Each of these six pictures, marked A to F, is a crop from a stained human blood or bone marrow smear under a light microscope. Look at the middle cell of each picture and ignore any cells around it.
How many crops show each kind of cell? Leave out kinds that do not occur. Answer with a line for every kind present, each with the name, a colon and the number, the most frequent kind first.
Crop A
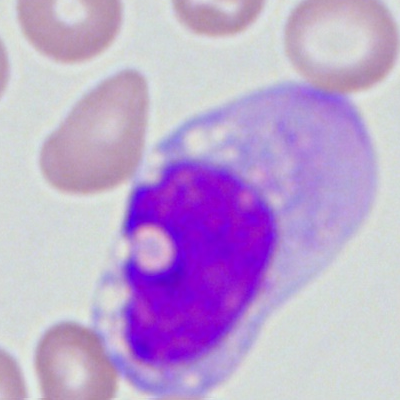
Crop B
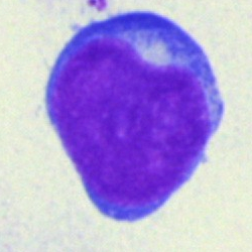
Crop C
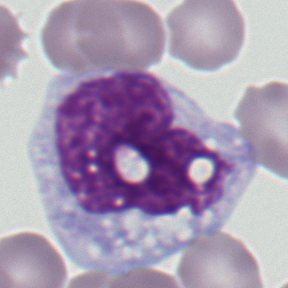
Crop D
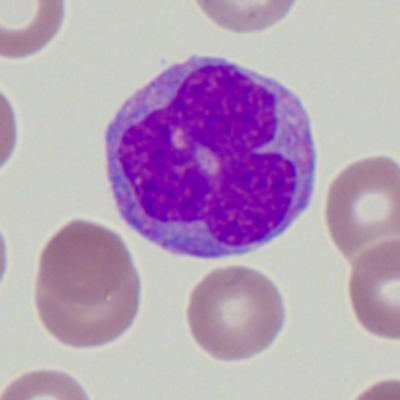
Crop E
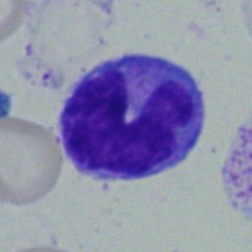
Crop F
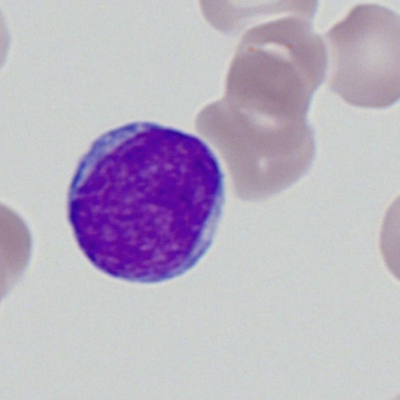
monocyte: 4
blast: 2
